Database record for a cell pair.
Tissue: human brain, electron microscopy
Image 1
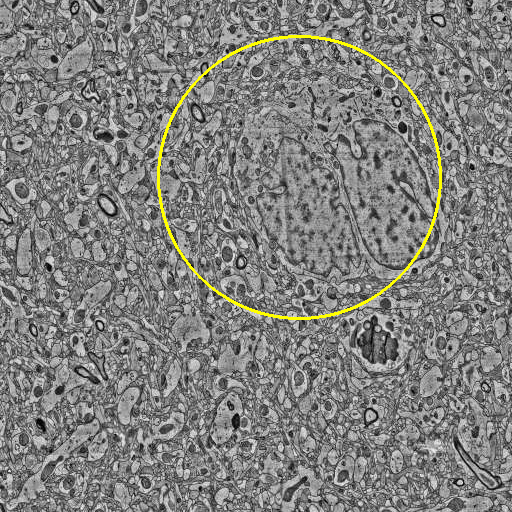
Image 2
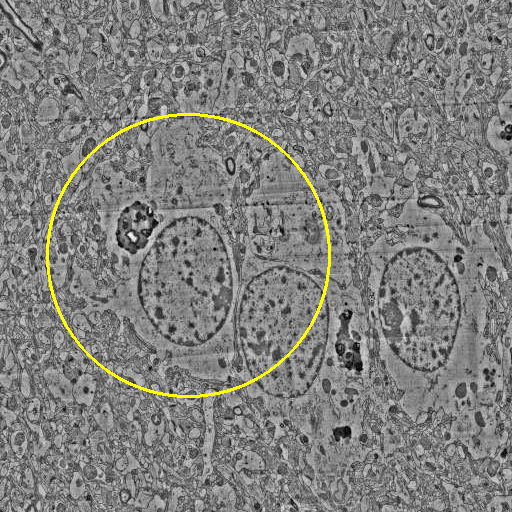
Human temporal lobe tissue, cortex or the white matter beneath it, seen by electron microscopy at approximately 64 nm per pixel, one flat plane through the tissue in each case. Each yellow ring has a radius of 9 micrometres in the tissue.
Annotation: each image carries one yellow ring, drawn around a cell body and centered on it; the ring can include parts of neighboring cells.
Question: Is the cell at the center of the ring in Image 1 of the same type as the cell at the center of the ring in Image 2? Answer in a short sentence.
No, the cells are of two types.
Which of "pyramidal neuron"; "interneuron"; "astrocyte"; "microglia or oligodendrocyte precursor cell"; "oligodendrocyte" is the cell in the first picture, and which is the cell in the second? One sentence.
The two differ: the first cell is an interneuron and the second is an astrocyte.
